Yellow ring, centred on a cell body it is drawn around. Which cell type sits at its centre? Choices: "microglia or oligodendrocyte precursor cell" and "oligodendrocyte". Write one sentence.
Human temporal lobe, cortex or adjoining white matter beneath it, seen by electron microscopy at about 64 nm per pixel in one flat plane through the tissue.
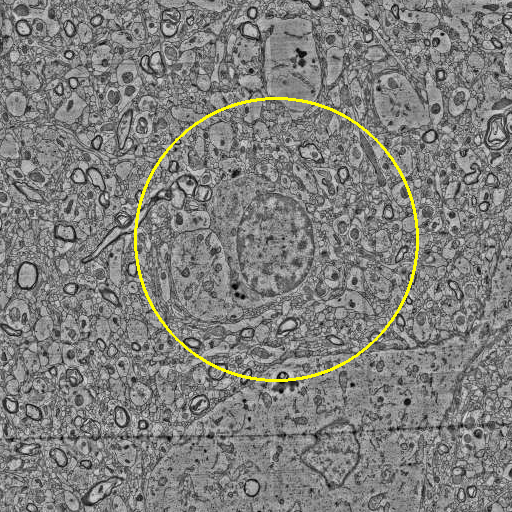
At the centre of the ring sits an oligodendrocyte.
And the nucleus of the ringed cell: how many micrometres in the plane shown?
The nucleus appears roughly 7 by 5 micrometres in this plane.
